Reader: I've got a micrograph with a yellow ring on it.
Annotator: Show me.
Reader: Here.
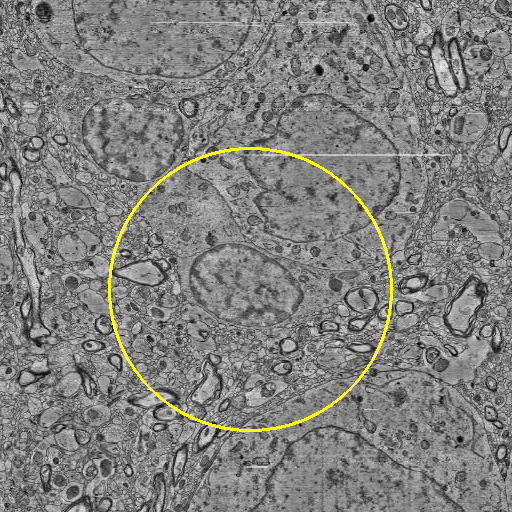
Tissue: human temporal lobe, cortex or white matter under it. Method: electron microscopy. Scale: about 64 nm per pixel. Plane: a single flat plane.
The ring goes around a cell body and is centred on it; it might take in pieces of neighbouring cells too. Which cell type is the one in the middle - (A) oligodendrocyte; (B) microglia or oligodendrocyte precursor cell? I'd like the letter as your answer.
A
